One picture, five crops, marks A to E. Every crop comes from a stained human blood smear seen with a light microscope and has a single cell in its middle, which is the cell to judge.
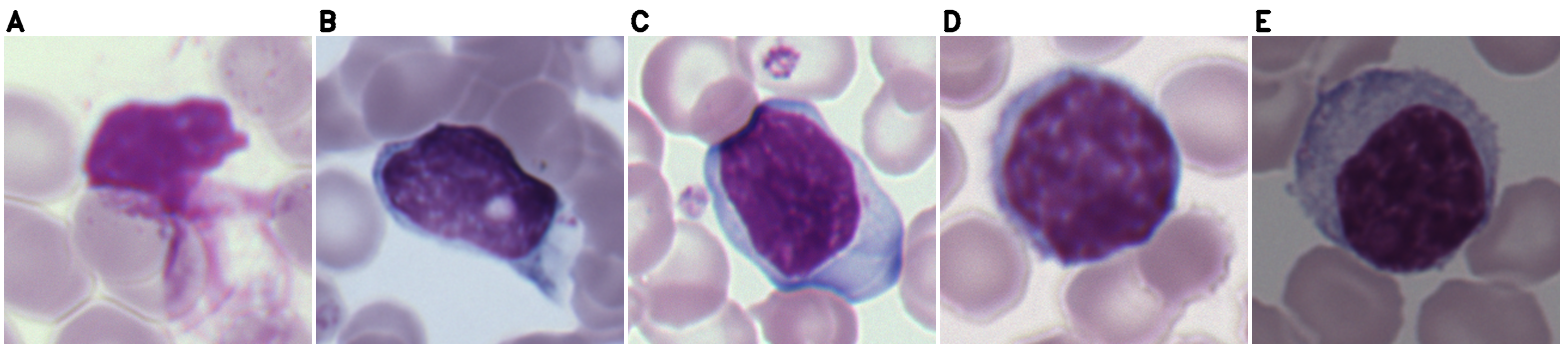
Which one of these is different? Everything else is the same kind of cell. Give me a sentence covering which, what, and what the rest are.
Whereas the other crops all show typical lymphocytes, crop A shows a smudge cell.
